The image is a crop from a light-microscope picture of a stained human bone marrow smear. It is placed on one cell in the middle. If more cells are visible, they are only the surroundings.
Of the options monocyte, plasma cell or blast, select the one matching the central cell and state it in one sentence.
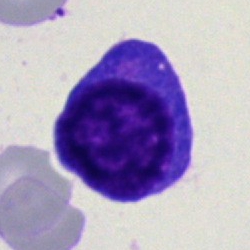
The crop shows a plasma cell in its centre.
